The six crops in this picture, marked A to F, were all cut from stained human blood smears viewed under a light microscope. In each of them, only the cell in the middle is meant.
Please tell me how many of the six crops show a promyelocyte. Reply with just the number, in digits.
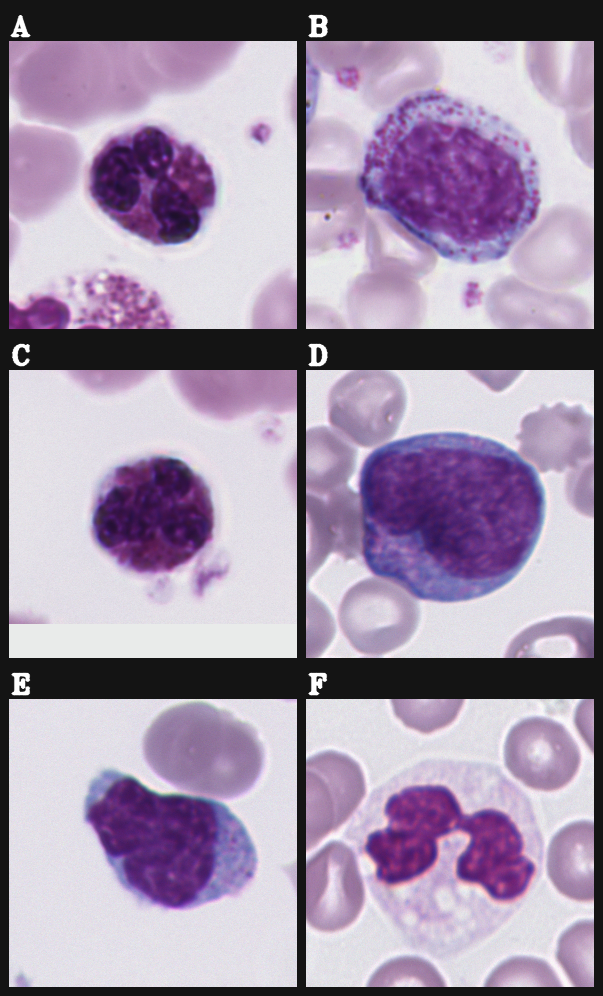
2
